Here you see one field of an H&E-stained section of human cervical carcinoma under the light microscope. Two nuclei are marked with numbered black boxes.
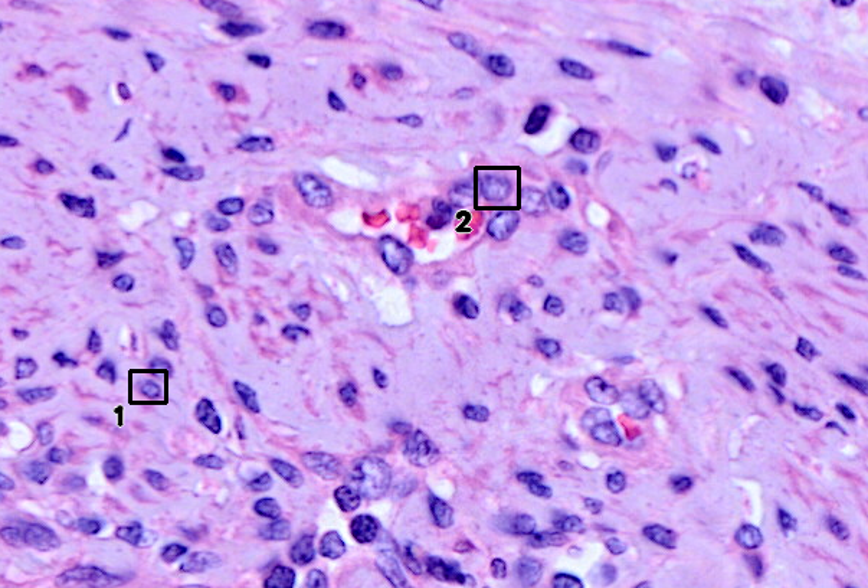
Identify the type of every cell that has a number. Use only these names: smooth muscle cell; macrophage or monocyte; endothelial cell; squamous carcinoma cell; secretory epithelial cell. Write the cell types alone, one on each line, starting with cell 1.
smooth muscle cell
endothelial cell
